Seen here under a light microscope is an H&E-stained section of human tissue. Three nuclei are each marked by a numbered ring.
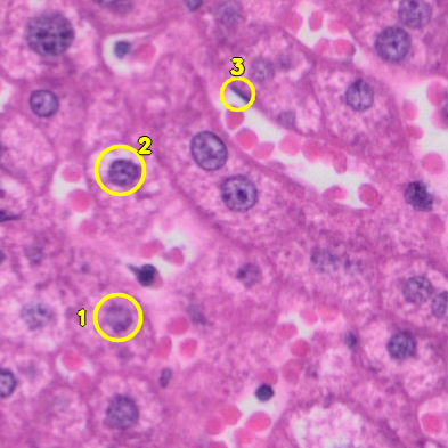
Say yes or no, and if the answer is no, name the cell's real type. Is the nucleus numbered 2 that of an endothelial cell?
No, it is a hepatocyte.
